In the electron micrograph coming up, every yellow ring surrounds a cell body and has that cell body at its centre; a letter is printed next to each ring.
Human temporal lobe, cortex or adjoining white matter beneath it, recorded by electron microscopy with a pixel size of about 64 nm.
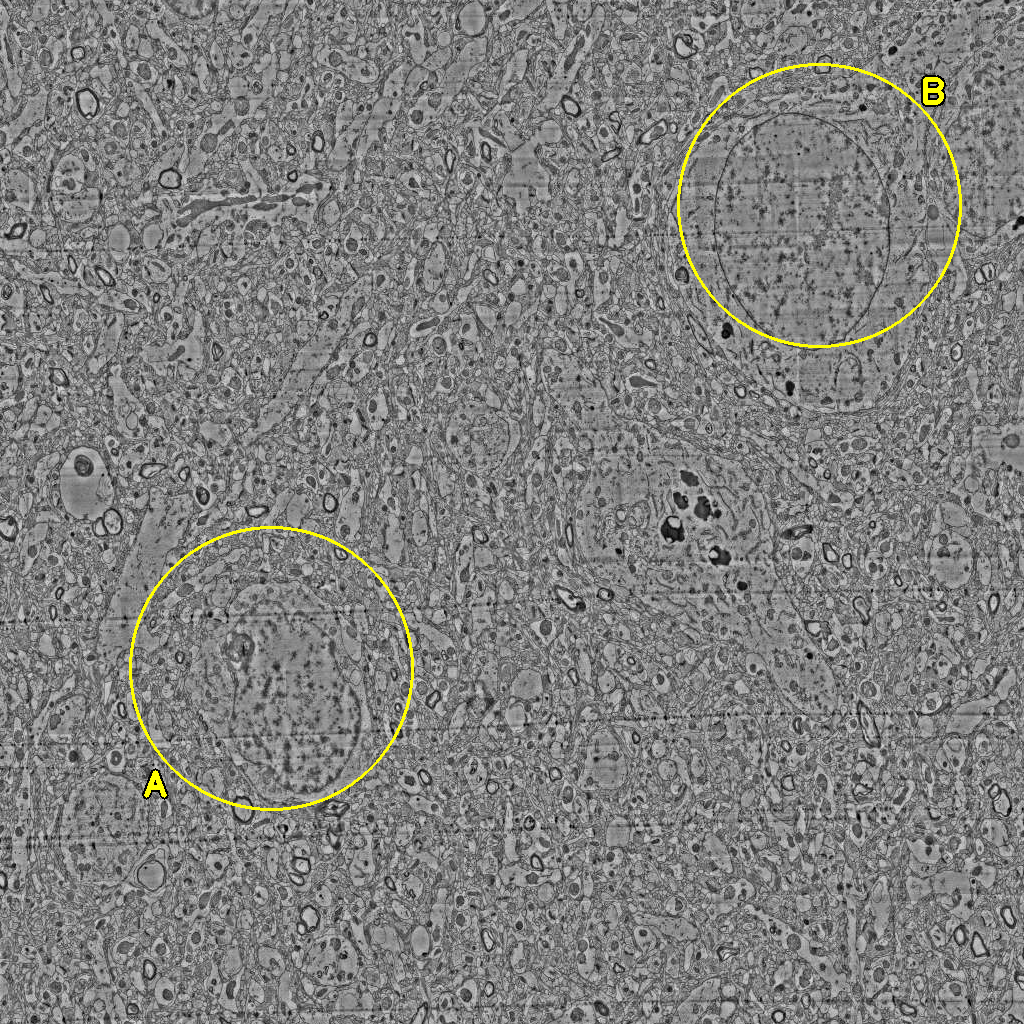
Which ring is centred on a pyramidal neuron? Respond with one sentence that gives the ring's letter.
Ring B is the one whose centre sits on the cell asked for in the picture.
